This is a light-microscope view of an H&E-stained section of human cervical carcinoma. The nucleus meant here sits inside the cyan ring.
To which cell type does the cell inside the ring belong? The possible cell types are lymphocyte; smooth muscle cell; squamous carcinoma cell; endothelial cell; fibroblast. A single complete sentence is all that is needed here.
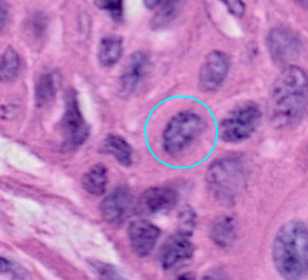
What the cell inside the ring represents is a squamous carcinoma cell.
